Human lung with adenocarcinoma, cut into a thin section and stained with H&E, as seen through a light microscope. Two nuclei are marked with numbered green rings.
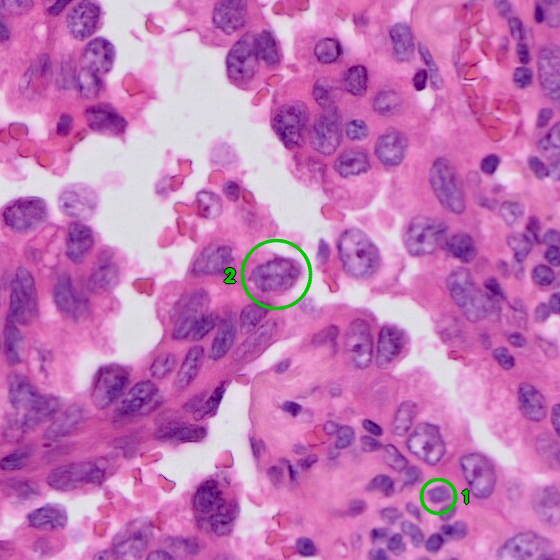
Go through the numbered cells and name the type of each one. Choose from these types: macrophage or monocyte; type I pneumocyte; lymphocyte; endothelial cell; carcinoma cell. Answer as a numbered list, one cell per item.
1. lymphocyte
2. carcinoma cell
